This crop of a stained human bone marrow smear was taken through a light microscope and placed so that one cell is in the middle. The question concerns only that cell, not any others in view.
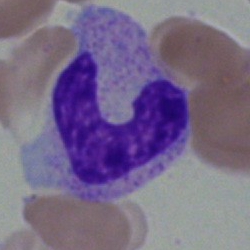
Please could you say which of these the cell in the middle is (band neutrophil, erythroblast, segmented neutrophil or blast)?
band neutrophil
